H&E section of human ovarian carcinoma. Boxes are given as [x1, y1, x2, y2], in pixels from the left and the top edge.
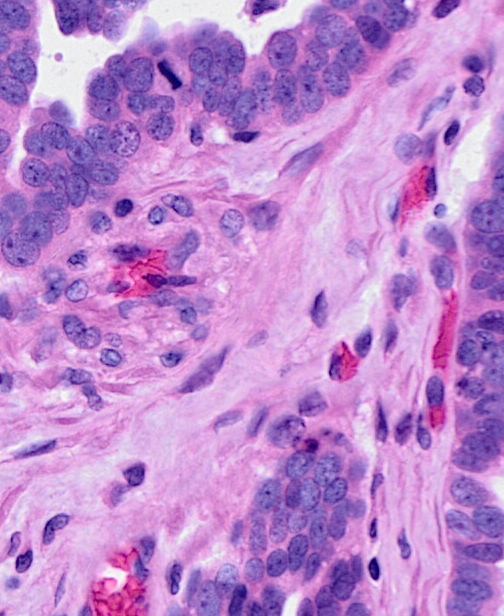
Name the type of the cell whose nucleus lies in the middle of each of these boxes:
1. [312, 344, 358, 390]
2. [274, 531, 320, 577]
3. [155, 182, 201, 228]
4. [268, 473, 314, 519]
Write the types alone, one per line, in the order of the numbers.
endothelial cell
carcinoma cell
fibroblast
carcinoma cell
